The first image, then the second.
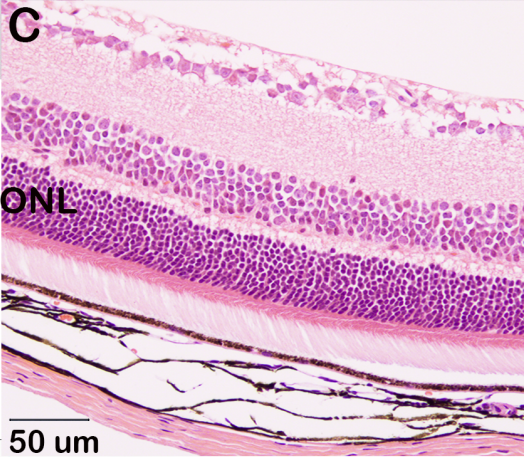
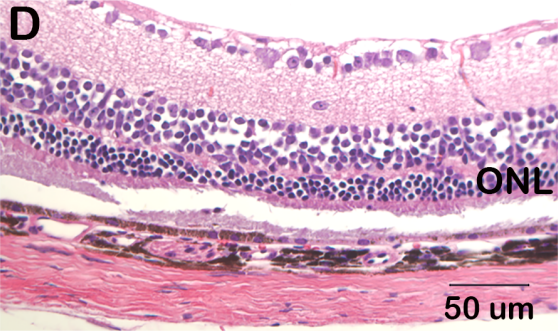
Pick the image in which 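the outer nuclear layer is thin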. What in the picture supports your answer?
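The second image. First image: the outer nuclear layer is a broad band of many rows of dark nuclei, much thicker than the inner nuclear layer.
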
